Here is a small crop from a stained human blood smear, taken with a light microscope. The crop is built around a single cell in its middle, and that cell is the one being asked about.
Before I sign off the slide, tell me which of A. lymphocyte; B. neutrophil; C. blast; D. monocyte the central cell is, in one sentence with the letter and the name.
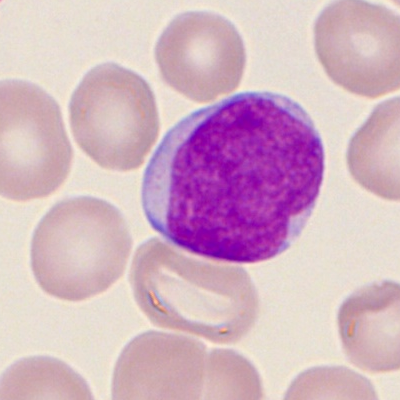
Option C holds, for the cell in the middle is a blast.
